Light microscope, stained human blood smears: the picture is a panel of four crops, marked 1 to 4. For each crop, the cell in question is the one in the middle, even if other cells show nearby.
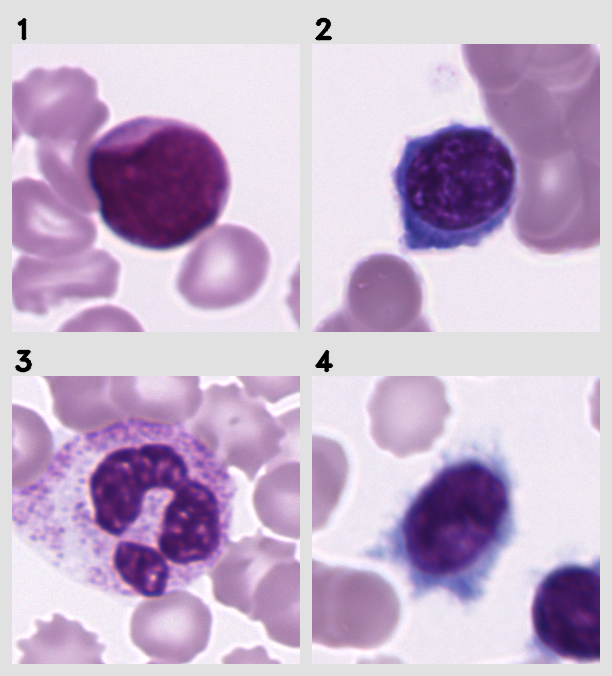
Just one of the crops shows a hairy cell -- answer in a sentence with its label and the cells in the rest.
Summary: crop 4 shows a hairy cell, while crop 1 is a myeloblast, crop 2 is a plasma cell and crop 3 is a segmented neutrophil.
